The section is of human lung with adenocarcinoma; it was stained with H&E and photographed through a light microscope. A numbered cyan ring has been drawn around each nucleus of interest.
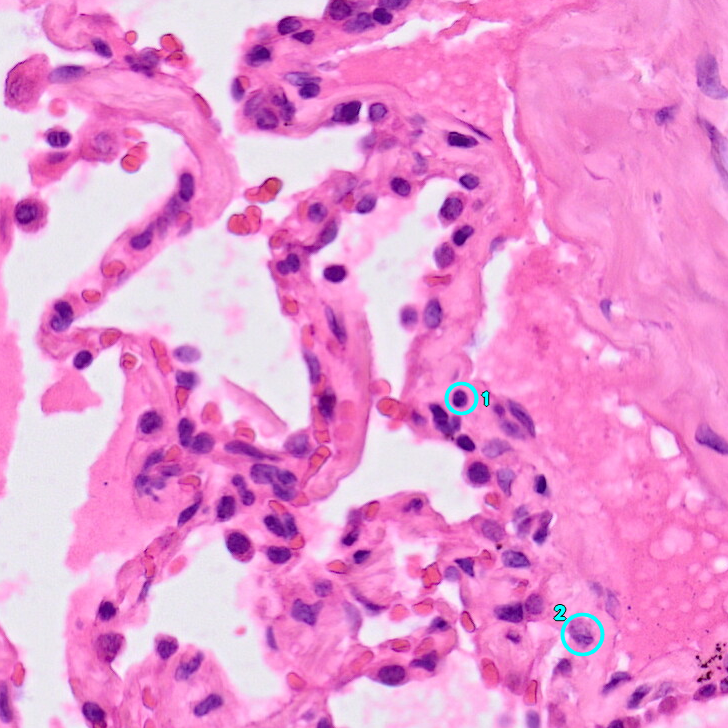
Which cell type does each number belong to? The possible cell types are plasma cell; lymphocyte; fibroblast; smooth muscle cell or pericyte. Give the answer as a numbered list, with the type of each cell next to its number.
1. lymphocyte
2. fibroblast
